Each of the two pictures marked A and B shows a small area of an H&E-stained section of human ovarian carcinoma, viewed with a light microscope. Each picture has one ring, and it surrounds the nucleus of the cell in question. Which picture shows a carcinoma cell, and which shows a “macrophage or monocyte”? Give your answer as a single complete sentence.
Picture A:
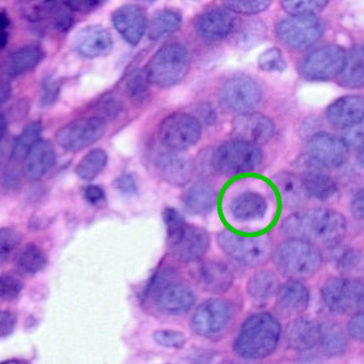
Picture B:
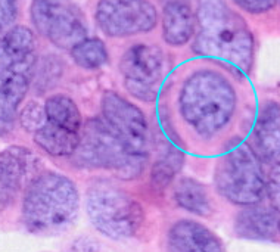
Picture A is of a “macrophage or monocyte”, and picture B is of a carcinoma cell.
